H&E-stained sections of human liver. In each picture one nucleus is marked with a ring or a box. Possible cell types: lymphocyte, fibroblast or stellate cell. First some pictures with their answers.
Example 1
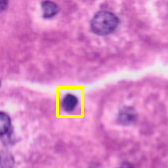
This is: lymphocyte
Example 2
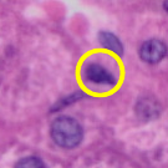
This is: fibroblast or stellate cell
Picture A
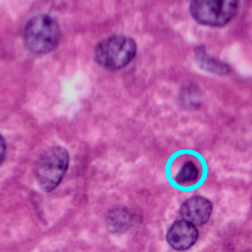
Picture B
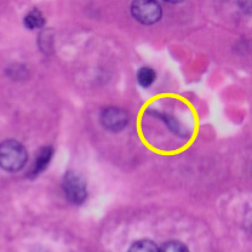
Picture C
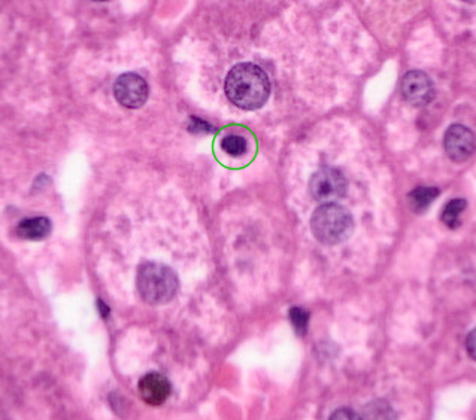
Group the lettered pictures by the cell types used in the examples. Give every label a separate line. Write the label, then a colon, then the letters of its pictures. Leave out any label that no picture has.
lymphocyte: C
fibroblast or stellate cell: A, B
